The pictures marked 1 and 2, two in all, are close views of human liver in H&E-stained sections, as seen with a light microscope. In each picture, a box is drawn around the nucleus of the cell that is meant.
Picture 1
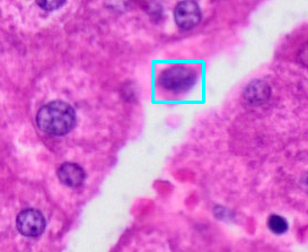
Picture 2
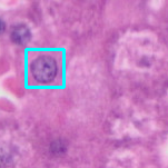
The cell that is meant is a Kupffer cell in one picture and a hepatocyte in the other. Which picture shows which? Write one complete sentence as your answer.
Picture 2 shows a hepatocyte, while picture 1 shows a Kupffer cell.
